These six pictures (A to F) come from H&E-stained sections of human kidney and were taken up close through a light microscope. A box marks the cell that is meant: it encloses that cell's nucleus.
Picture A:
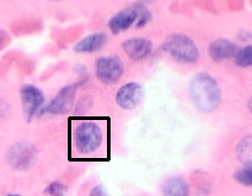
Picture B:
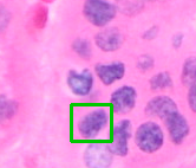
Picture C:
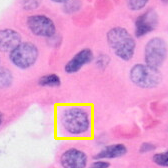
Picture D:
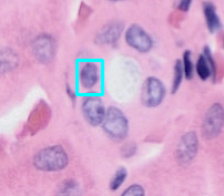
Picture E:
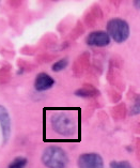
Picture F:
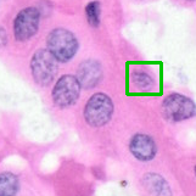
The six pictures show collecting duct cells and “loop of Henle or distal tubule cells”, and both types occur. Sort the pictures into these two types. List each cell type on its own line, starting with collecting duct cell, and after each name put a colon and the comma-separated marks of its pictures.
collecting duct cell: B, D
loop of Henle or distal tubule cell: A, C, E, F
